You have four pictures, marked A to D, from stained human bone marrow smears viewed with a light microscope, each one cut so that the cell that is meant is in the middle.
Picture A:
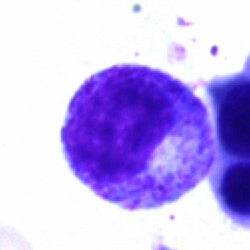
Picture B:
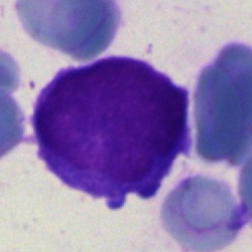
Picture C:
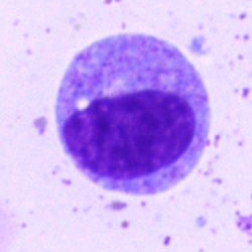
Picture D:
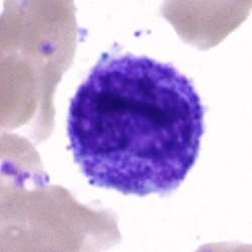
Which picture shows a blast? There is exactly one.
B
